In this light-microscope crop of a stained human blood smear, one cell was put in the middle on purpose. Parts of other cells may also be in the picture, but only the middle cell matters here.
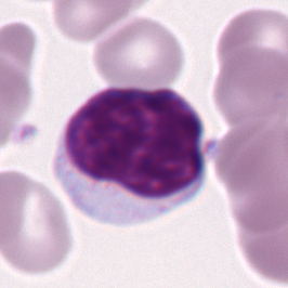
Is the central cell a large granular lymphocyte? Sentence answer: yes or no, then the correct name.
Yes, within this crop, the central cell is a large granular lymphocyte.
